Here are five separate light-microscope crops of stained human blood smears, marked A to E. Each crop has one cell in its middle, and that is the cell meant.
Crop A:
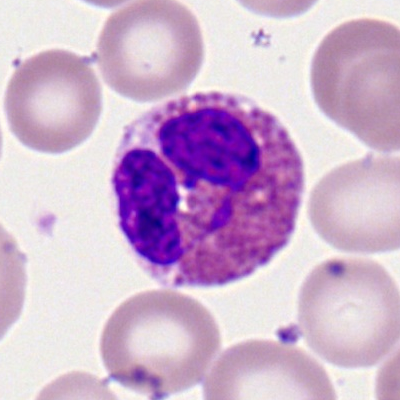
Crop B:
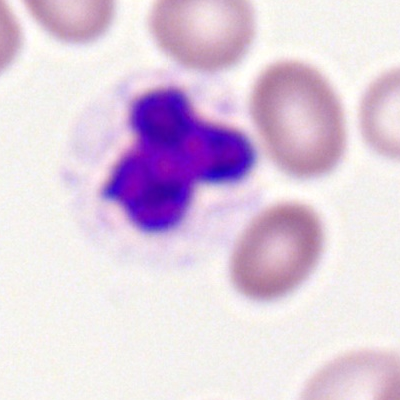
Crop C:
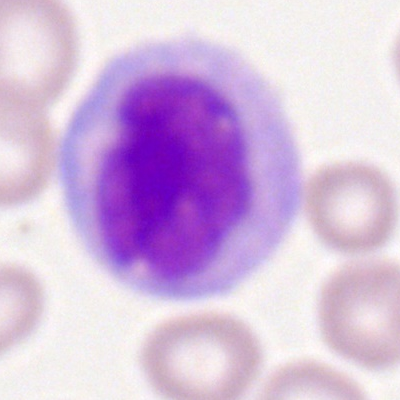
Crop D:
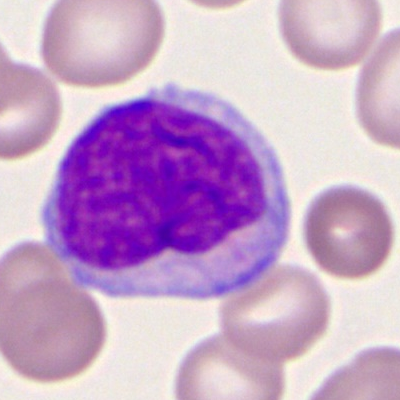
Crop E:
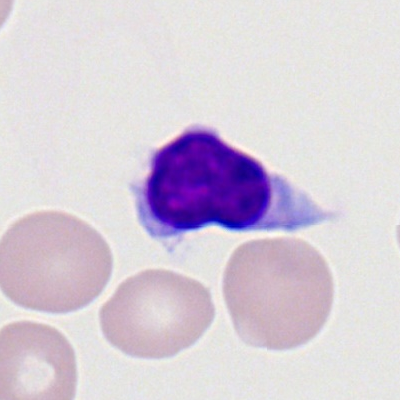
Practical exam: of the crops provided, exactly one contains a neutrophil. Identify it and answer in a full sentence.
Crop B is the crop containing a neutrophil.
